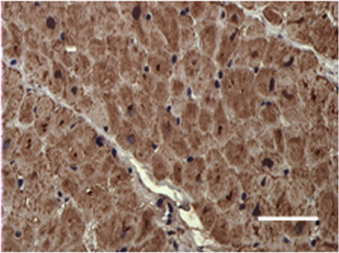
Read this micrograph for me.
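Cardiac muscle fibres cut mostly in cross section form a compact sheet of polygonal profiles with a light to medium brown cytoplasm. Oval bluish nuclei stand out within many fibres and in the narrow spaces between them. A thin strand of pale connective tissue crosses the field diagonally.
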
